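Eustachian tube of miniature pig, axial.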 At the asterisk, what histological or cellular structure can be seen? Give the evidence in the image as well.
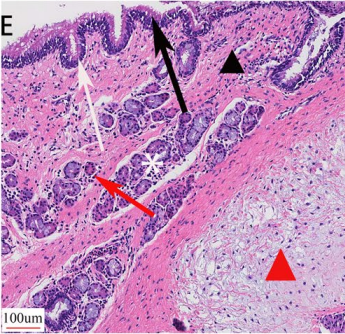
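Gland. Clusters of rounded acini with purple cells around small lumina. The clusters lie in the tissue beneath the surface lining.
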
